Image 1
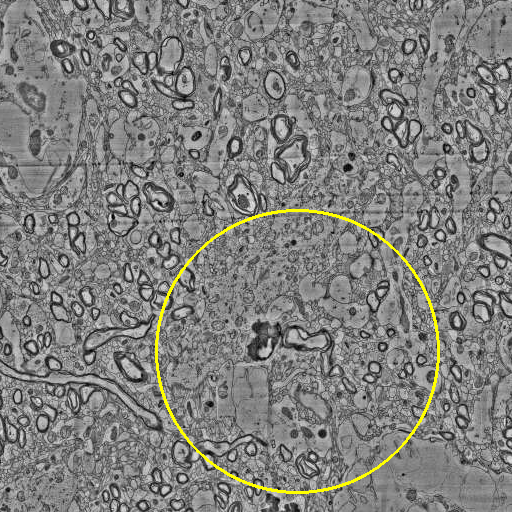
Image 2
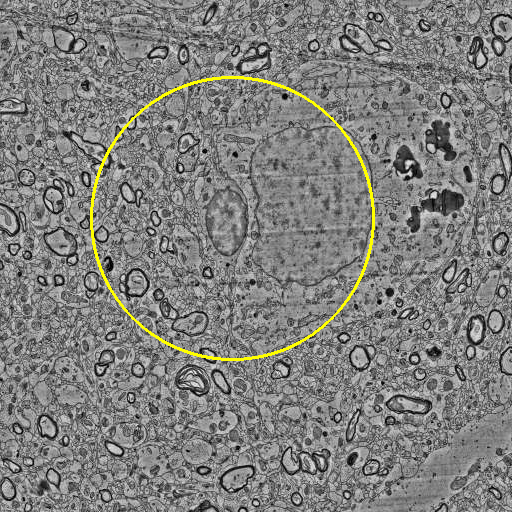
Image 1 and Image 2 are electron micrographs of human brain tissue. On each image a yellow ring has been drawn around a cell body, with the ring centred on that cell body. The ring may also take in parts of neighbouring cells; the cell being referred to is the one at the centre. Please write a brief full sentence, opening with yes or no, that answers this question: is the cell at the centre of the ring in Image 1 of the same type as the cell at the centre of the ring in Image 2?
Yes, both cells are of the same type.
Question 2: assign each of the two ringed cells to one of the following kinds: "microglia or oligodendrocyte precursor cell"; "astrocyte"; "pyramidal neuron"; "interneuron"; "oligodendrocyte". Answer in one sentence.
Each cell at the centre of a ring is an oligodendrocyte.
